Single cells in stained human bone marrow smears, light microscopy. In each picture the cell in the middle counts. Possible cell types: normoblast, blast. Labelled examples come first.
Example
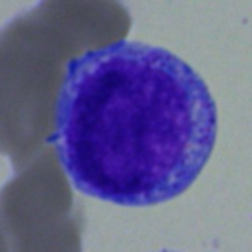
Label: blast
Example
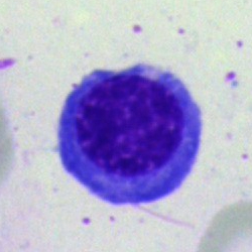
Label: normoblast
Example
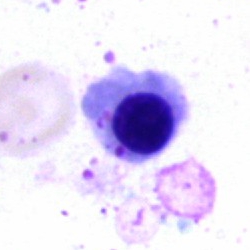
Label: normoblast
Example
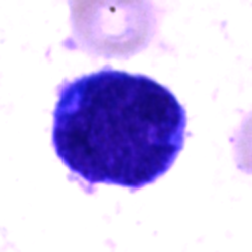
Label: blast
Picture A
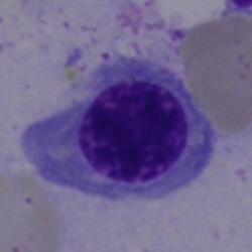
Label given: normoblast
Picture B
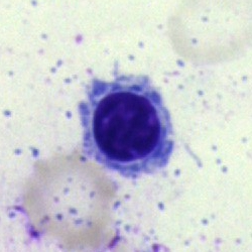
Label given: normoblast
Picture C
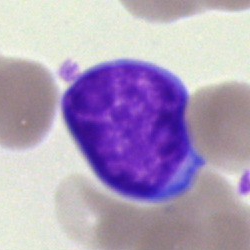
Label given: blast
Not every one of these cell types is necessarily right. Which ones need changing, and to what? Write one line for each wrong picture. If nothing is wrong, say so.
All labels are correct.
